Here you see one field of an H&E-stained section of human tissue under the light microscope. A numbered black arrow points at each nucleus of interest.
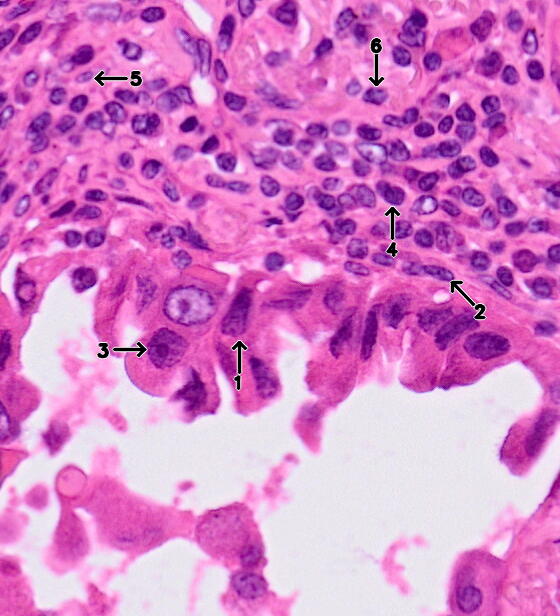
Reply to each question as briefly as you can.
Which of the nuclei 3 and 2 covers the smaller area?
2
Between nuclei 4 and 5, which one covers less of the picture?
5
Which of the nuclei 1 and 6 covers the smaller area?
6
